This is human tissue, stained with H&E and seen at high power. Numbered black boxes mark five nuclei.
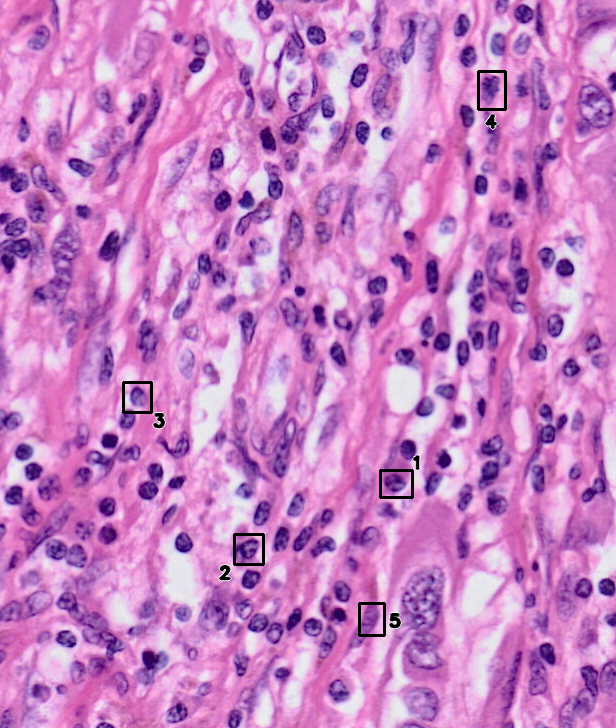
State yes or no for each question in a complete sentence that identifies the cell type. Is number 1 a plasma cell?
Yes, the marked cell number 1 is a plasma cell.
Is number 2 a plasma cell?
Yes, looking at number 2, that cell is a plasma cell.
